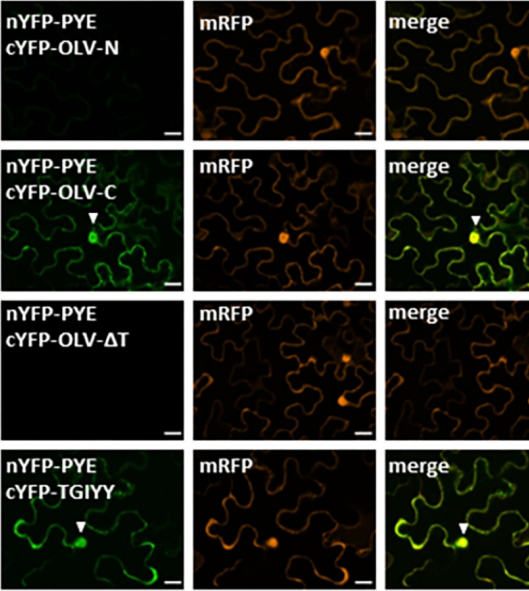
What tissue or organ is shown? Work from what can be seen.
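Cells have wavy, interlocking jigsaw-puzzle outlines. Cells form a single flat sheet with no intercellular spaces. Fluorescence lines the cell periphery around large empty-looking centres.
Leaf epidermis cells.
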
